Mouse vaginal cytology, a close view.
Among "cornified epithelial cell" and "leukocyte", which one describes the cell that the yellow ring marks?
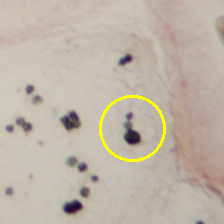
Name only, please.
leukocyte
